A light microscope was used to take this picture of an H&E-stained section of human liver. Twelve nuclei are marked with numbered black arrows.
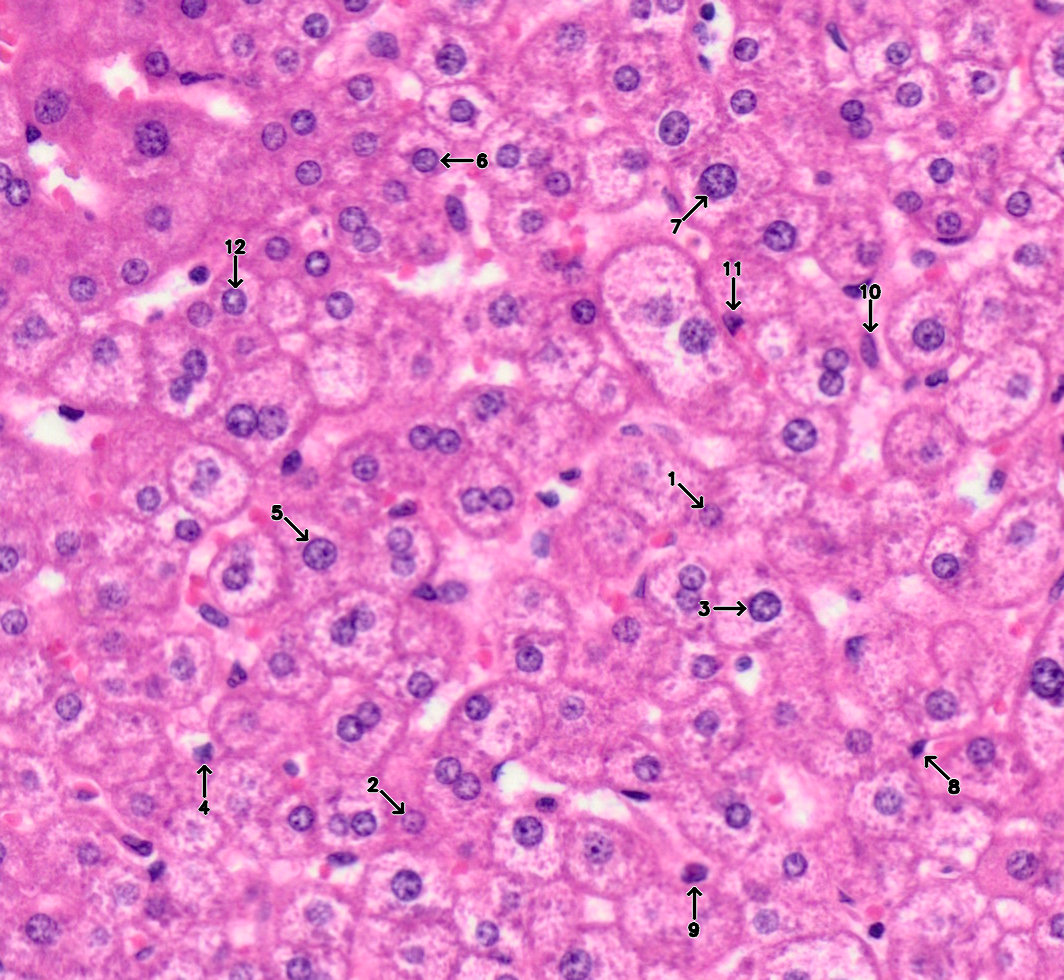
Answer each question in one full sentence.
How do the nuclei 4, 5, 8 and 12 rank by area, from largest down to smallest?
Largest first, the order by area is 5, 12, 4, 8.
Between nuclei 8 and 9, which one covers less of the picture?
Number 8 is smaller, since number 9 takes up about 2 times as much area.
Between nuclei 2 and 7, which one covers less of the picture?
With nucleus 7 about 2 times its size, nucleus 2 is the smaller of the two.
